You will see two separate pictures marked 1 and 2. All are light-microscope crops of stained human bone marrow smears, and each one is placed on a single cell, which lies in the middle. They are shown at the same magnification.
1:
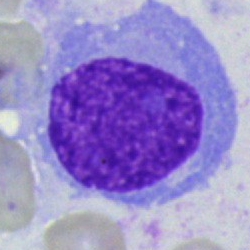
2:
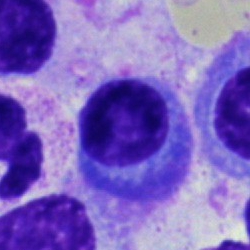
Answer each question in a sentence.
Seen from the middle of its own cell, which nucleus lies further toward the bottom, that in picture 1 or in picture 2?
Seen within its cell, the nucleus in picture 1 lies further toward the bottom.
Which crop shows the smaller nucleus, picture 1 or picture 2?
Smaller is the nucleus in picture 2, and the other is about 2.5 times as large in area.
